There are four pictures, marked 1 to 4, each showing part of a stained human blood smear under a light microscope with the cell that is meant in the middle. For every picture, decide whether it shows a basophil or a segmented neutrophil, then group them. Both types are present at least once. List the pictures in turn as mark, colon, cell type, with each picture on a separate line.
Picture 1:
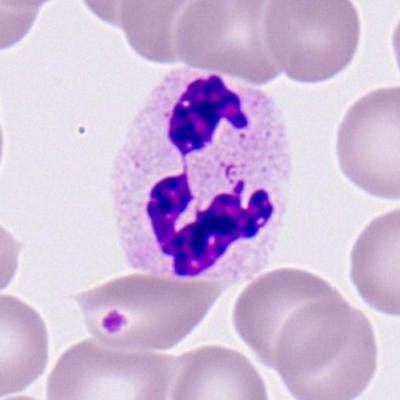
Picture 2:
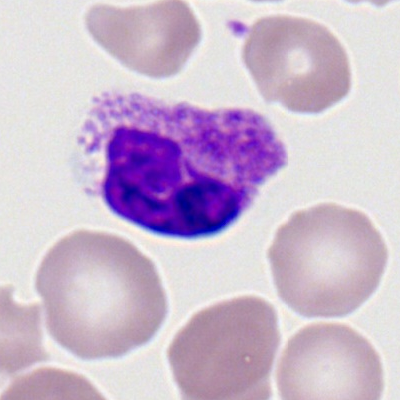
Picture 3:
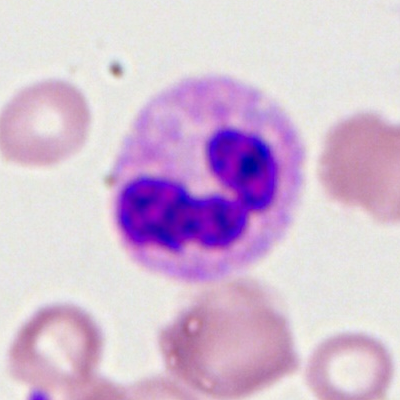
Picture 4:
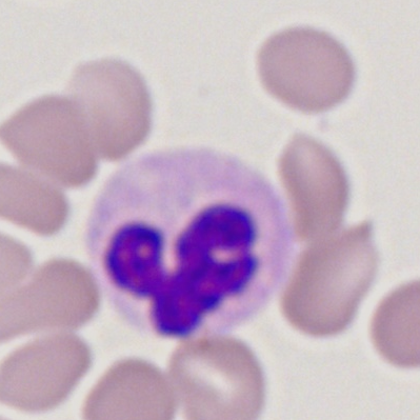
1: segmented neutrophil
2: basophil
3: segmented neutrophil
4: segmented neutrophil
